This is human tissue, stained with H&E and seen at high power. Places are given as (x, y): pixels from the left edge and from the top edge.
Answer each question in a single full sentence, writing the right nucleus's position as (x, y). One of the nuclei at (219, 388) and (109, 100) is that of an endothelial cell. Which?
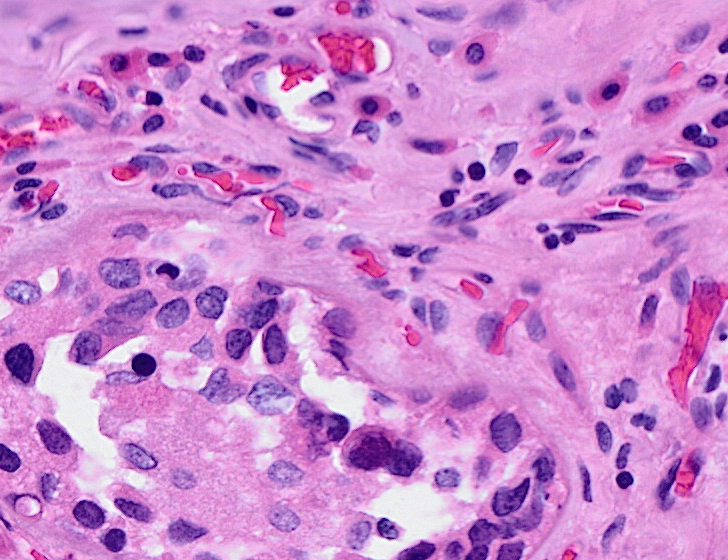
The nucleus at (109, 100), rather than the other, belongs to an endothelial cell.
